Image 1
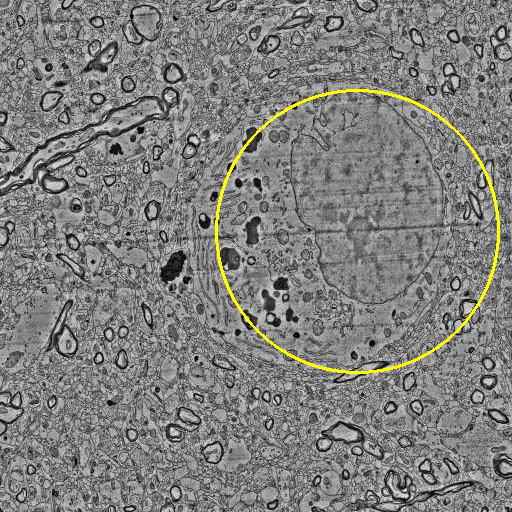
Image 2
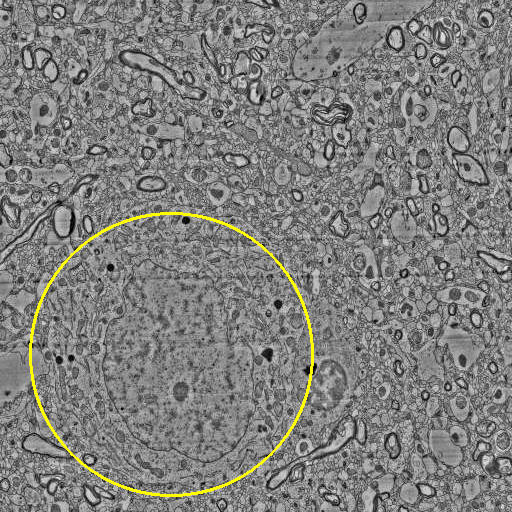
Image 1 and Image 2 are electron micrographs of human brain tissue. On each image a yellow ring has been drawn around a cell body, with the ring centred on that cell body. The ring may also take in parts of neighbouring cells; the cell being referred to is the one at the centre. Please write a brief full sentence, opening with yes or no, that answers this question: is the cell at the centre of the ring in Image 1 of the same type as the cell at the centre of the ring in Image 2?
Yes, both cells are of the same type.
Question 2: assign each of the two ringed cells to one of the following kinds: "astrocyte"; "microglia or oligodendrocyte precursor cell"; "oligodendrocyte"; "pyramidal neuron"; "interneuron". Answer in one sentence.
Each of the ringed cells, first and second, is an interneuron.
